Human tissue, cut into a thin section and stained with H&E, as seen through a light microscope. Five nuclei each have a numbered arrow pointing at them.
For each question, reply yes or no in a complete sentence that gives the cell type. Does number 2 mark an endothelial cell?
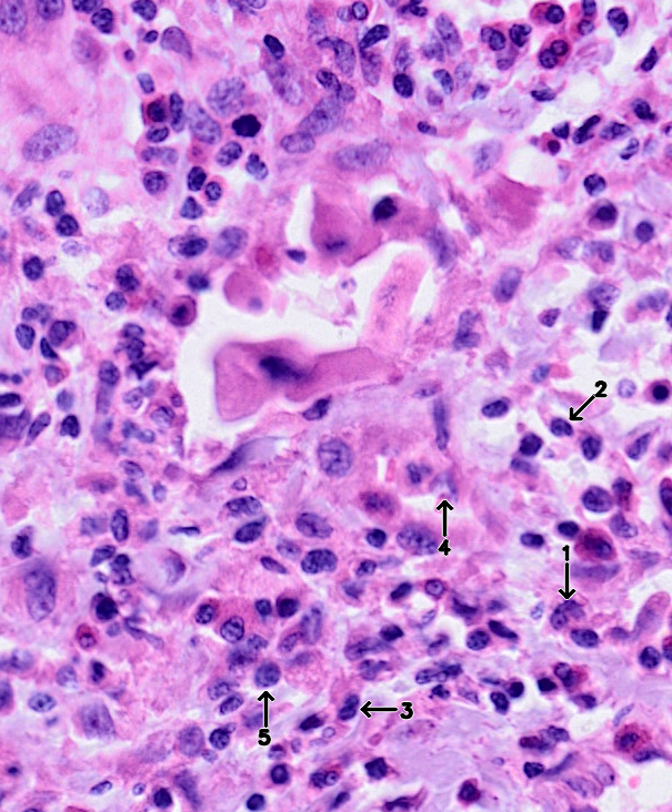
No, the one with number 2 is a lymphocyte, not an endothelial cell.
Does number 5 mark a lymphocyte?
Yes, a lymphocyte is what the cell numbered 5 is.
